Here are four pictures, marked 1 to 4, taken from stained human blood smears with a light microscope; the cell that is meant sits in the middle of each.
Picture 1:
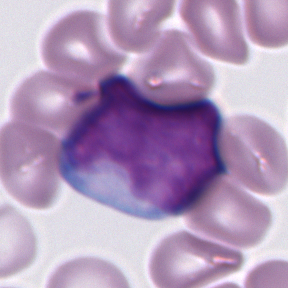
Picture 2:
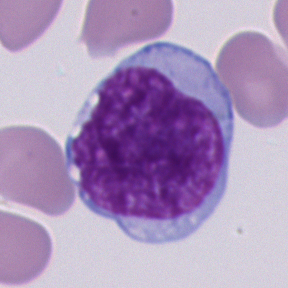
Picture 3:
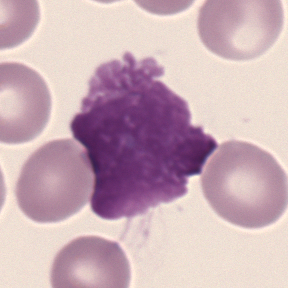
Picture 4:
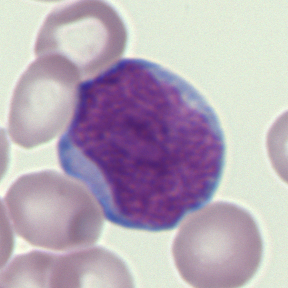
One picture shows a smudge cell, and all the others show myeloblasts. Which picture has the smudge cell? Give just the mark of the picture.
3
